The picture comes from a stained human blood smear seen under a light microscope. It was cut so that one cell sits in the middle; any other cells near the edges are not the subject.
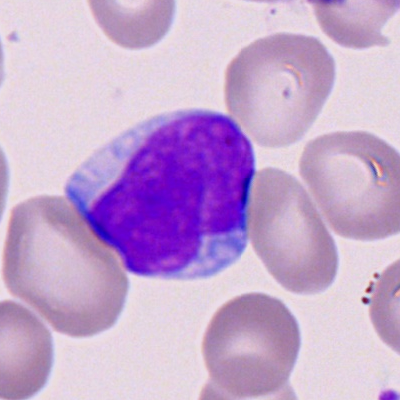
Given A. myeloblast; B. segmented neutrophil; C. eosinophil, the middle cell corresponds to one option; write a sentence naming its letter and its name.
The middle of the crop contains a myeloblast, so option A is right.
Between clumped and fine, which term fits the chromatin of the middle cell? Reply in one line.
Here the nuclear chromatin is coarsely clumped.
